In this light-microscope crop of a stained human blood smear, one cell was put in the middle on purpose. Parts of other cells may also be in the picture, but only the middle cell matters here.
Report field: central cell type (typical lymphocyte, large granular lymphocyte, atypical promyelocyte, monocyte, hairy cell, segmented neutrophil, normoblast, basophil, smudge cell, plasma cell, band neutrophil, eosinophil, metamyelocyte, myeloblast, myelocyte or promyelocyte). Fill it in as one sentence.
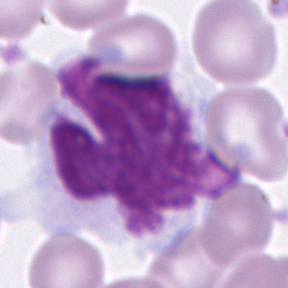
The cell featured at the centre of this crop is a monocyte.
